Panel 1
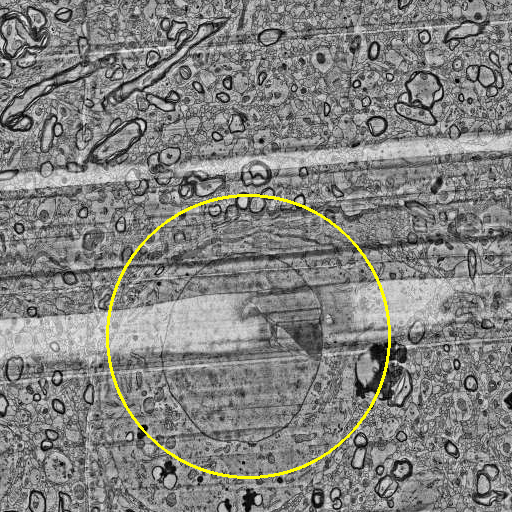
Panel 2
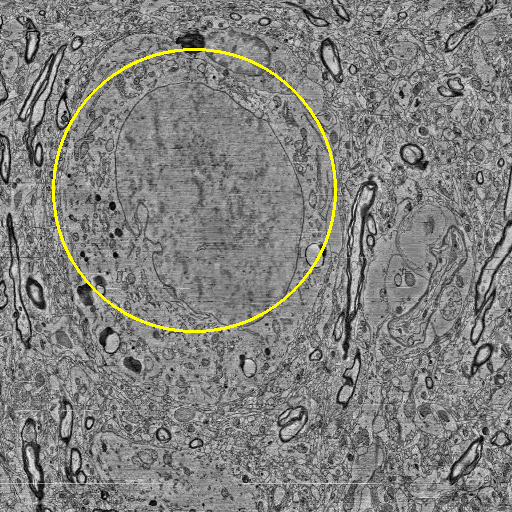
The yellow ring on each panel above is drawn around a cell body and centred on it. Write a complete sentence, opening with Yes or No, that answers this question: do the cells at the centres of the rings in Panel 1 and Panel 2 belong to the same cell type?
Yes, both cells belong to the same cell type.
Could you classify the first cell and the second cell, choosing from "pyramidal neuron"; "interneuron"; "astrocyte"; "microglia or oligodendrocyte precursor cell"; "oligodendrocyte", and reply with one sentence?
The ring centre holds a pyramidal neuron in each of the two pictures.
